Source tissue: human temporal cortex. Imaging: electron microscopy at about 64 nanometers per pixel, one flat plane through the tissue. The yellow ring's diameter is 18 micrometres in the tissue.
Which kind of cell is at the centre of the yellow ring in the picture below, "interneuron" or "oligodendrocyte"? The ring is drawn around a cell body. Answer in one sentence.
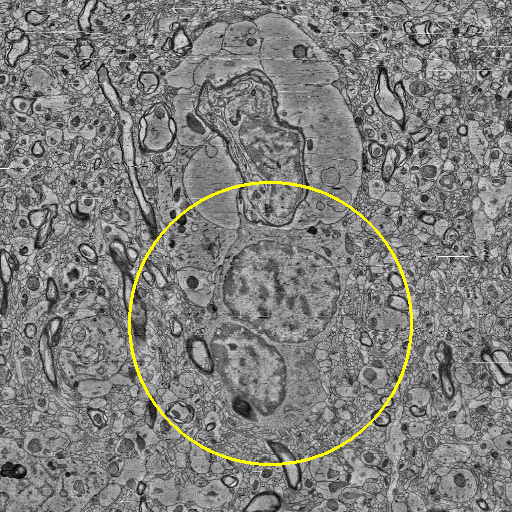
The ring's central cell is an oligodendrocyte.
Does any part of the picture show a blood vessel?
Yes, a blood vessel is present in this picture.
